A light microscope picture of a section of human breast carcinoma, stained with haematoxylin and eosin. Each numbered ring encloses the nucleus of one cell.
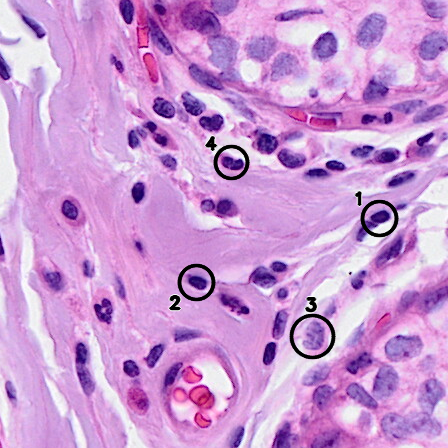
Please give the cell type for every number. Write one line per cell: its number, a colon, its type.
1: lymphocyte
2: lymphocyte
3: macrophage, monocyte or dendritic cell
4: lymphocyte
